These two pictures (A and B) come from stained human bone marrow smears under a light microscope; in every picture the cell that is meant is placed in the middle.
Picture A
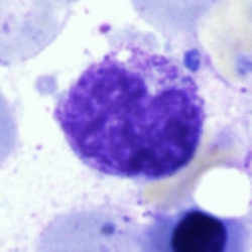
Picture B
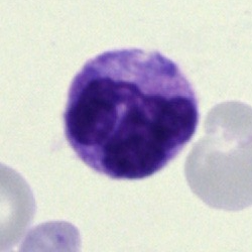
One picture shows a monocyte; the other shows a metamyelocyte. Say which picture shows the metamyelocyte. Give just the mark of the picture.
A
